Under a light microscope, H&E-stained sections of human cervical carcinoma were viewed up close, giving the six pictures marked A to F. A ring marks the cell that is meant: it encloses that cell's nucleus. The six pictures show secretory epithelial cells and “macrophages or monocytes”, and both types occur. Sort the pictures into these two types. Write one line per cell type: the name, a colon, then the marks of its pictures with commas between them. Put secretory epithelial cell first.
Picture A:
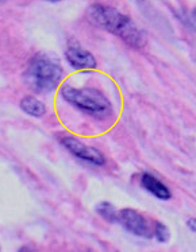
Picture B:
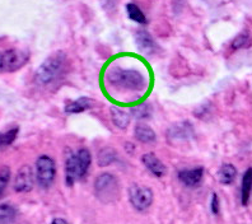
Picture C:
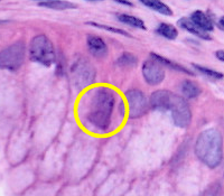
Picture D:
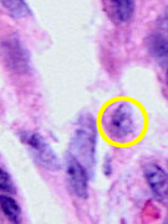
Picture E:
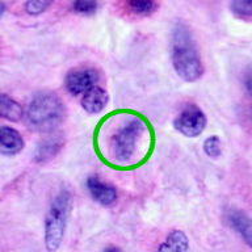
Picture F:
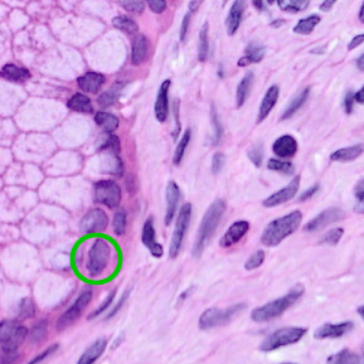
secretory epithelial cell: C, F
macrophage or monocyte: A, B, D, E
